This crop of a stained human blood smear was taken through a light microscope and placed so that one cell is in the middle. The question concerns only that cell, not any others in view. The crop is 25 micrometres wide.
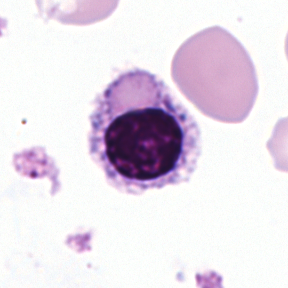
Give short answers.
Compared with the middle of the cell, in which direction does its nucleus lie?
bottom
